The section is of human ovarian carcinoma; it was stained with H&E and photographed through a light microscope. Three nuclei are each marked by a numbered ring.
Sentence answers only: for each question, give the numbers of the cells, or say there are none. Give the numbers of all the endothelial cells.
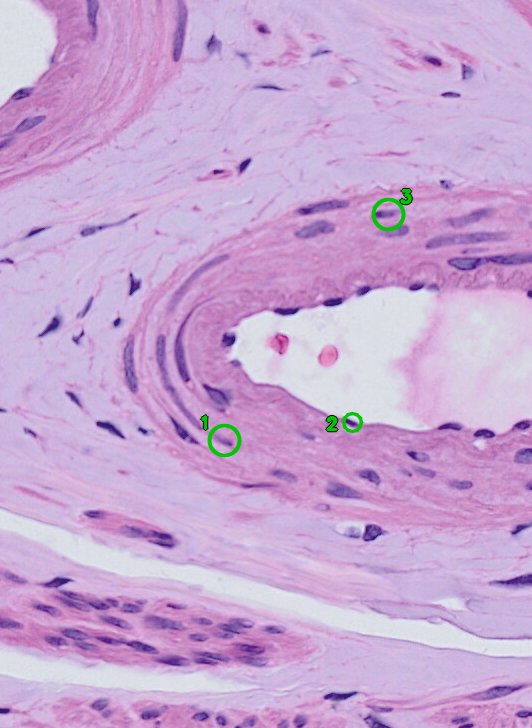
Cell 2 is an endothelial cell; the remaining numbered cells are not.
